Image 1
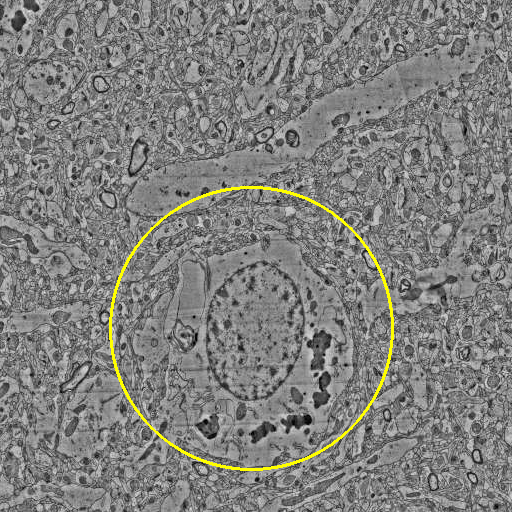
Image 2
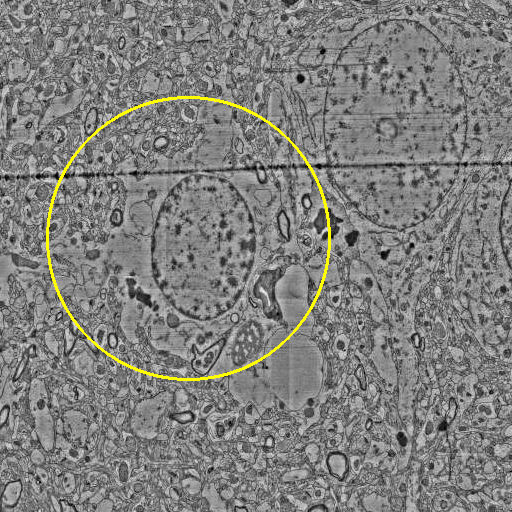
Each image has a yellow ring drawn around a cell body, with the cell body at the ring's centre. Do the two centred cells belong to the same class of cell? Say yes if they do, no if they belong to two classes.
yes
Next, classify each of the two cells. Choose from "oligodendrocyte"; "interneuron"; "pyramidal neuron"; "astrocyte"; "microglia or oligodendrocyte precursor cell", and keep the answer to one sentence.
Both pictures show an astrocyte at the centre of the ring.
